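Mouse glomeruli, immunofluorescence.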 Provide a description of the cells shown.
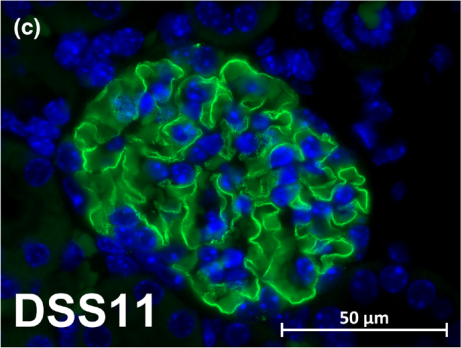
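Bright, continuous green wavy lines outline the many folded capillary loops across the whole tuft and along its outer edge. Numerous blue nuclei lie between and beside these green contours inside the tuft, and round blue nuclei of the neighbouring cells fill the space around it.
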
